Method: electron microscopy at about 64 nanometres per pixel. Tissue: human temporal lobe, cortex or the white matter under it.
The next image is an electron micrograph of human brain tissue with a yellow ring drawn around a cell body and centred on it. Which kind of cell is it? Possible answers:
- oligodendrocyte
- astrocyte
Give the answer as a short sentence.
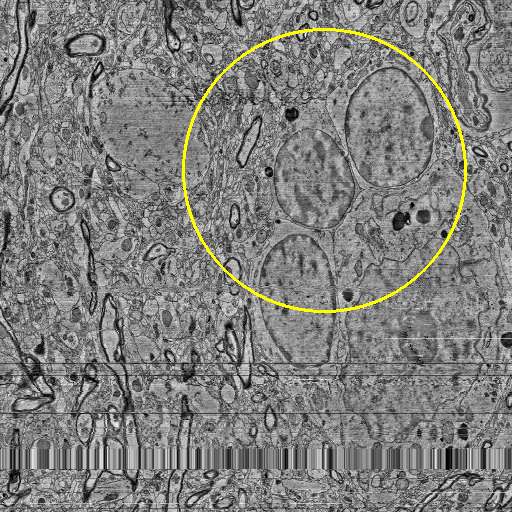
In the ring's centre is an oligodendrocyte.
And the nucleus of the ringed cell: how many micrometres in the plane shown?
In this plane, about 7 micrometres in length and 5 in width.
